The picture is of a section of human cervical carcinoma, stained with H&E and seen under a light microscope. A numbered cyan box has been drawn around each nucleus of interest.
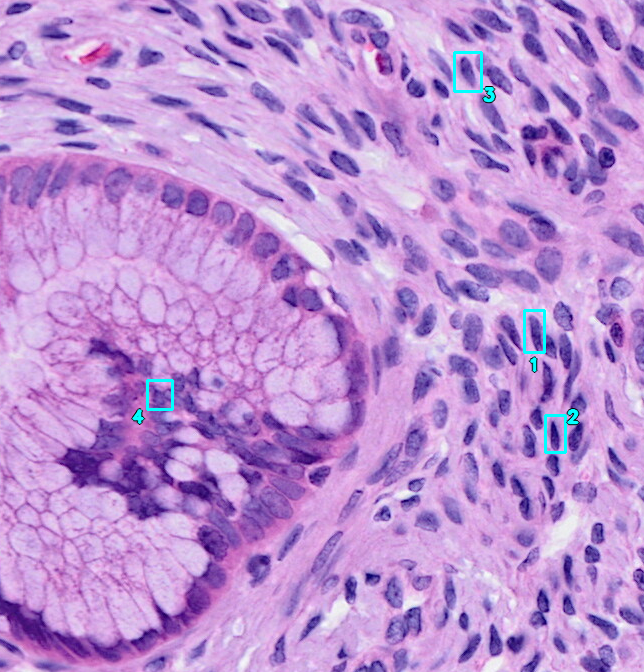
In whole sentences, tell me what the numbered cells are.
Cells 1, 2 and 3 are fibroblasts. Cell 4 is a secretory epithelial cell.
